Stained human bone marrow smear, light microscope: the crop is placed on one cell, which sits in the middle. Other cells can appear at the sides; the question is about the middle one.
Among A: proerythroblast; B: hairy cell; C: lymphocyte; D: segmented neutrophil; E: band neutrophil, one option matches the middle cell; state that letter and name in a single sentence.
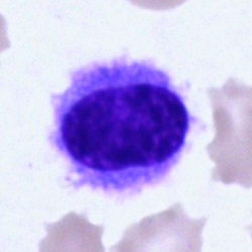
The middle of the crop holds a hairy cell, which points to option B.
